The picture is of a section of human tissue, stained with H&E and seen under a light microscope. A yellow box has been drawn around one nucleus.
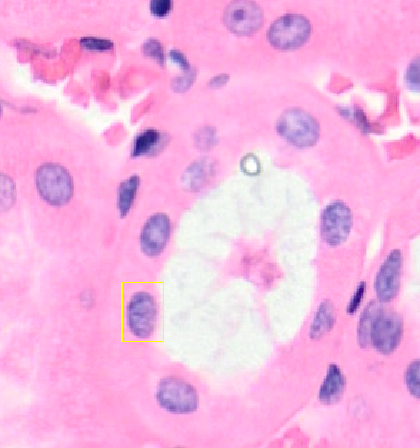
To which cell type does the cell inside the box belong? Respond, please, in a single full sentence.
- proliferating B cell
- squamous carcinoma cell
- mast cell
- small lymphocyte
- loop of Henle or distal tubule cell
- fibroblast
It is as a loop of Henle or distal tubule cell that the cell inside the box is recorded.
